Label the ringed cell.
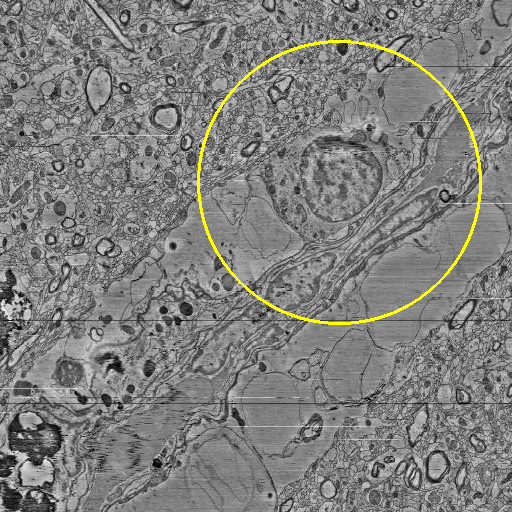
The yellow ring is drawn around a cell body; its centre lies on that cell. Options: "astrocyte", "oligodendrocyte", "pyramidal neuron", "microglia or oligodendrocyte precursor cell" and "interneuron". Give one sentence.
The ringed cell is an oligodendrocyte.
